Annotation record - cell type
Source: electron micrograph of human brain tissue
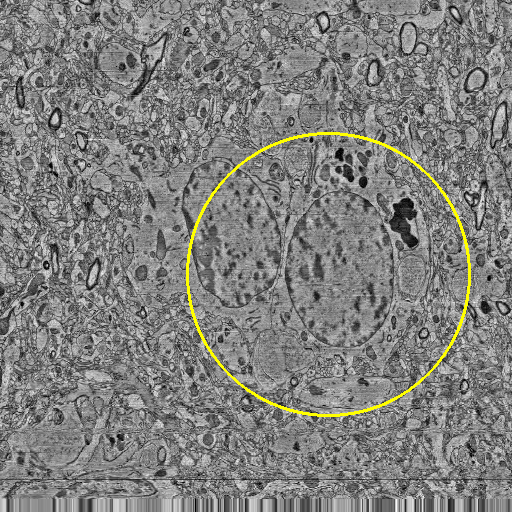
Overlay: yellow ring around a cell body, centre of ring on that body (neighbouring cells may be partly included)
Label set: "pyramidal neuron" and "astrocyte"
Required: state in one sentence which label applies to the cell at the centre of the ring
This cell should be labelled as an astrocyte.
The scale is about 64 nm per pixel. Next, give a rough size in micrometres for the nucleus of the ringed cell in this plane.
In this plane the nucleus is roughly 10 by 7 micrometres, clearly longer than it is wide.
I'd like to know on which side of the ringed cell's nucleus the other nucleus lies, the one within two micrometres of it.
The other one is to the left of it.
